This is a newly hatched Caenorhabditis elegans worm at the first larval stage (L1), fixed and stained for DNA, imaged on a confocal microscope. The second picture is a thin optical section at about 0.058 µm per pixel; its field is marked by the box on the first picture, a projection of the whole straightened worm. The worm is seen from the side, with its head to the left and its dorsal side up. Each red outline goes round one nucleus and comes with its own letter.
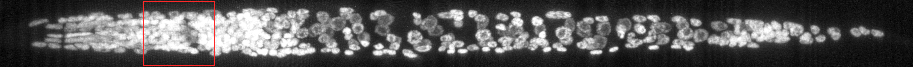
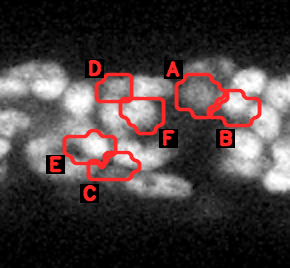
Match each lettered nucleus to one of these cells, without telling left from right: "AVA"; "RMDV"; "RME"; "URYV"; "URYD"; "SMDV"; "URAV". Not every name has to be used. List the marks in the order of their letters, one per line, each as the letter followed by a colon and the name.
A: RMDV
B: AVA
C: URAV
D: URYD
E: URYV
F: RME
